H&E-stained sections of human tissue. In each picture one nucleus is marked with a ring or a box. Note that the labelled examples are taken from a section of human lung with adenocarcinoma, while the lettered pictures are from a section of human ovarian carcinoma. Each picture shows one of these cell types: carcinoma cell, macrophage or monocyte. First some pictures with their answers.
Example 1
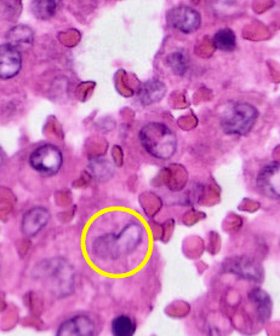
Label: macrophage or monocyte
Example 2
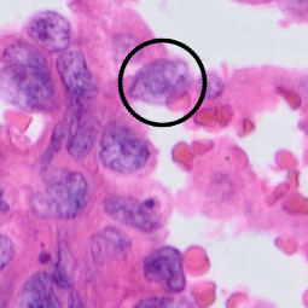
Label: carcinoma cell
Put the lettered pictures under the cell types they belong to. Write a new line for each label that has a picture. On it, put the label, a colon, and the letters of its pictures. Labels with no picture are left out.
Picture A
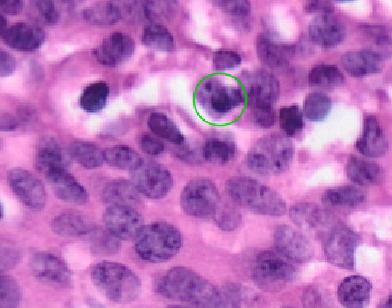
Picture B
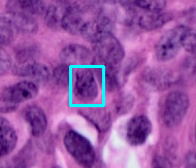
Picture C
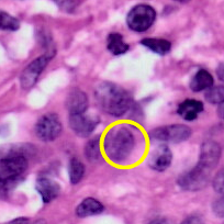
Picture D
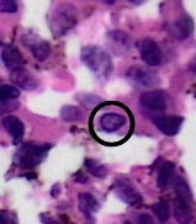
carcinoma cell: C
macrophage or monocyte: A, B, D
